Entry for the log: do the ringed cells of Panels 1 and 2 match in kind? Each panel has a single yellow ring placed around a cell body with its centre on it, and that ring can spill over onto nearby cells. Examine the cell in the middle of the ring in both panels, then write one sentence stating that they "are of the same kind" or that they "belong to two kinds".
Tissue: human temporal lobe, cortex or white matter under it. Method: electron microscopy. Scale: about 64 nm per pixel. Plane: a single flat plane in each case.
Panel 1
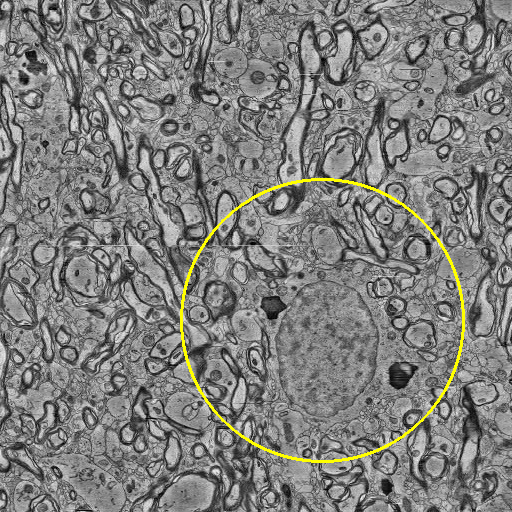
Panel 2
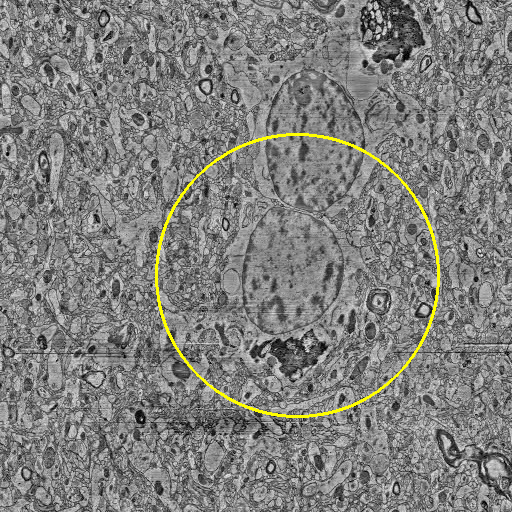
The centre cell of Panel 1's ring and that of Panel 2's ring belong to two kinds.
